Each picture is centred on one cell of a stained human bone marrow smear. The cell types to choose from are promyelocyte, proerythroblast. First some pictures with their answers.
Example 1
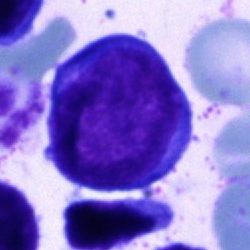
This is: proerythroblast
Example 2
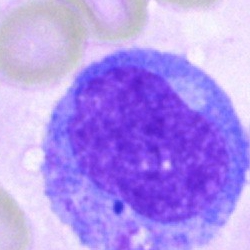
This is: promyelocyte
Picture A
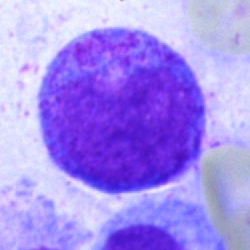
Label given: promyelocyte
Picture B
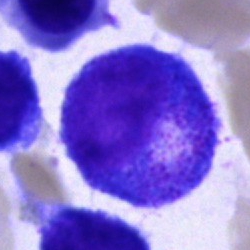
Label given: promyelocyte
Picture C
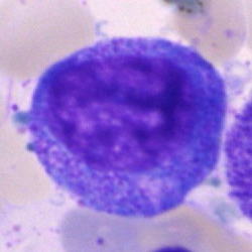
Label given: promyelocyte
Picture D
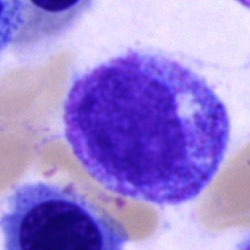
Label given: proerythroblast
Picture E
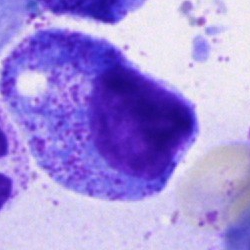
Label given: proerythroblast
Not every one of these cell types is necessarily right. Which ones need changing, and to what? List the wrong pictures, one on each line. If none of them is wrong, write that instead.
Wrong: D (proerythroblast); correct: promyelocyte
Wrong: E (proerythroblast); correct: promyelocyte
